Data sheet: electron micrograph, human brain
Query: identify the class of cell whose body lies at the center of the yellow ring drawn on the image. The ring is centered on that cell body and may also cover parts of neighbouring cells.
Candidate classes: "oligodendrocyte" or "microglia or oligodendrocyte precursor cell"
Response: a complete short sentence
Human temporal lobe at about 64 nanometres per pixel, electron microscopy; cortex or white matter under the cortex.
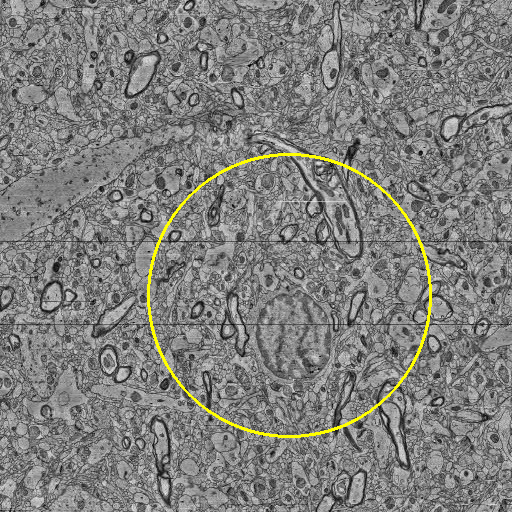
At the center of the ring lies an oligodendrocyte.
